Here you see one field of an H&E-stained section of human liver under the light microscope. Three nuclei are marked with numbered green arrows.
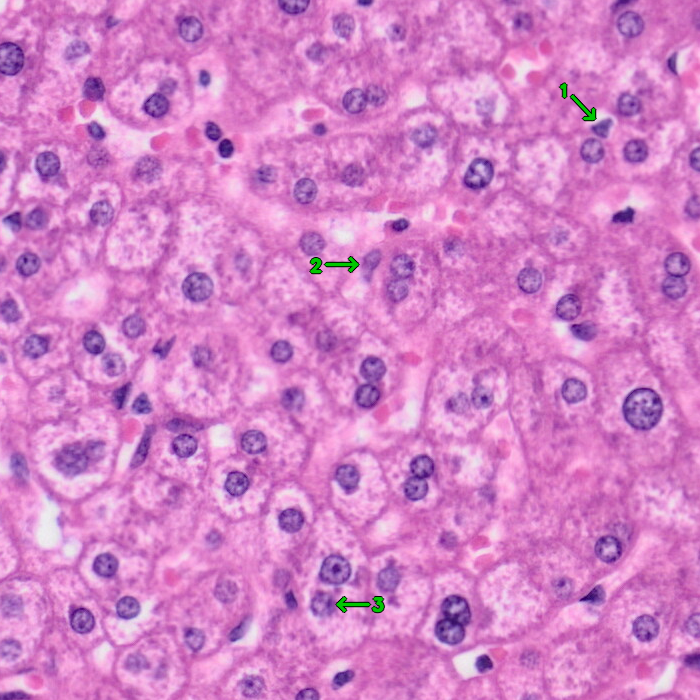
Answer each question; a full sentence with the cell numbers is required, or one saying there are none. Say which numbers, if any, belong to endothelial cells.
Of those with numbers, only cell 1 is an endothelial cell.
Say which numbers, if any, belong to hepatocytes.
Only the cell at mark 3 is a hepatocyte, and no other marked cell is.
